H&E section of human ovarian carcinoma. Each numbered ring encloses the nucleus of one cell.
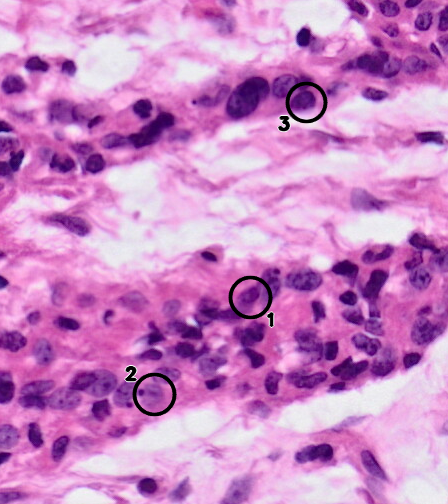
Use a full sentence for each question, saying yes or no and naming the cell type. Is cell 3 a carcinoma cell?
Yes, the marked cell with number 3 is a carcinoma cell.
